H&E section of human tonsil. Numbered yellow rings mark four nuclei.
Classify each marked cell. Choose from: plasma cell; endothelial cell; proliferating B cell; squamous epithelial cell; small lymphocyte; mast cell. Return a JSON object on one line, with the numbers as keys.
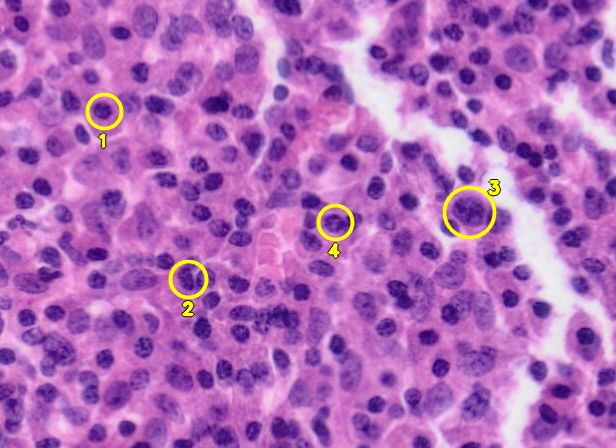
{"1": "plasma cell", "2": "plasma cell", "3": "squamous epithelial cell", "4": "plasma cell"}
